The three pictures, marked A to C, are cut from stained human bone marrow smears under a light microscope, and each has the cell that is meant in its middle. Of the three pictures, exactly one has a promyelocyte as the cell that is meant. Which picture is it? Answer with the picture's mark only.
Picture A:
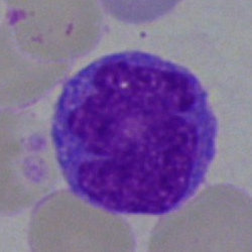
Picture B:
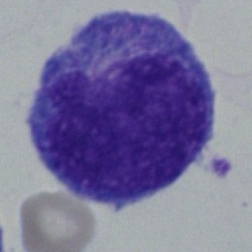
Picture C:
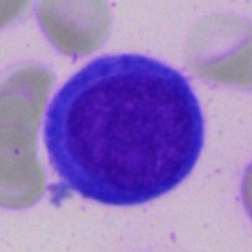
B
